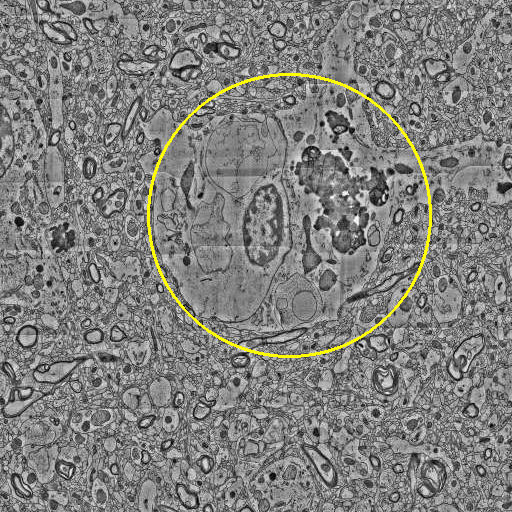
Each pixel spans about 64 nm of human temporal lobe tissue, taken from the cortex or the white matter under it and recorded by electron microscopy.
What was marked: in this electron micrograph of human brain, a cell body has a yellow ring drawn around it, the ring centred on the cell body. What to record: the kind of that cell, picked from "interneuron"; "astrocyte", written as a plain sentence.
The centred cell is an astrocyte.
